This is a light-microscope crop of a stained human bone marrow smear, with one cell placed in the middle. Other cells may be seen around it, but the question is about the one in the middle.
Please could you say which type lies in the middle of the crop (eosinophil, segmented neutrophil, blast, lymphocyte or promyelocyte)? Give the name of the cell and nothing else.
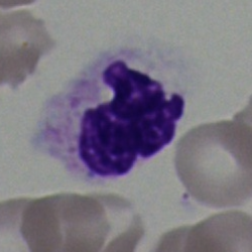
segmented neutrophil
